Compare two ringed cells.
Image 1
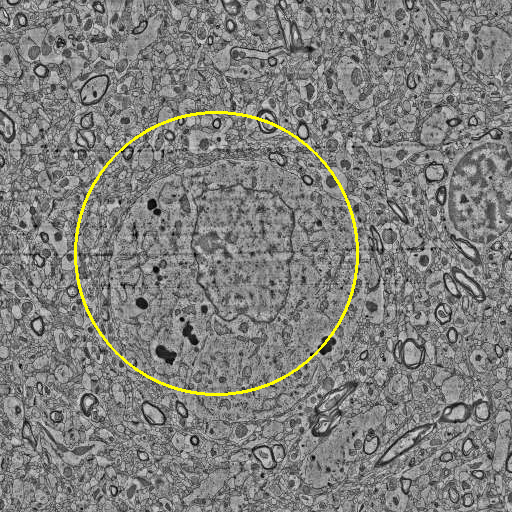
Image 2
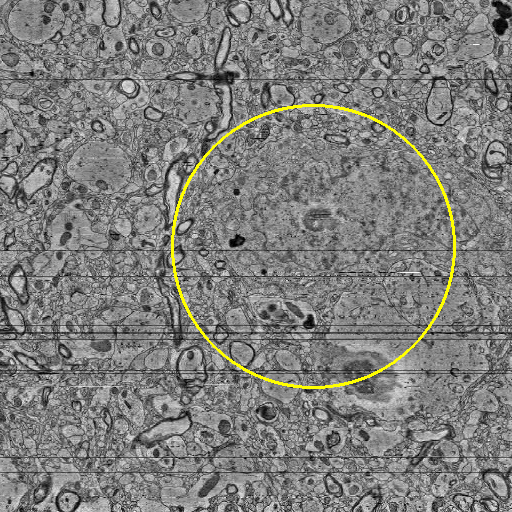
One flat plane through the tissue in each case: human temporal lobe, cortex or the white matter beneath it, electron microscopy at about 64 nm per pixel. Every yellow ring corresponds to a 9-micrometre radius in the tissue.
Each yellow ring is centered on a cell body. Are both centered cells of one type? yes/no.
no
